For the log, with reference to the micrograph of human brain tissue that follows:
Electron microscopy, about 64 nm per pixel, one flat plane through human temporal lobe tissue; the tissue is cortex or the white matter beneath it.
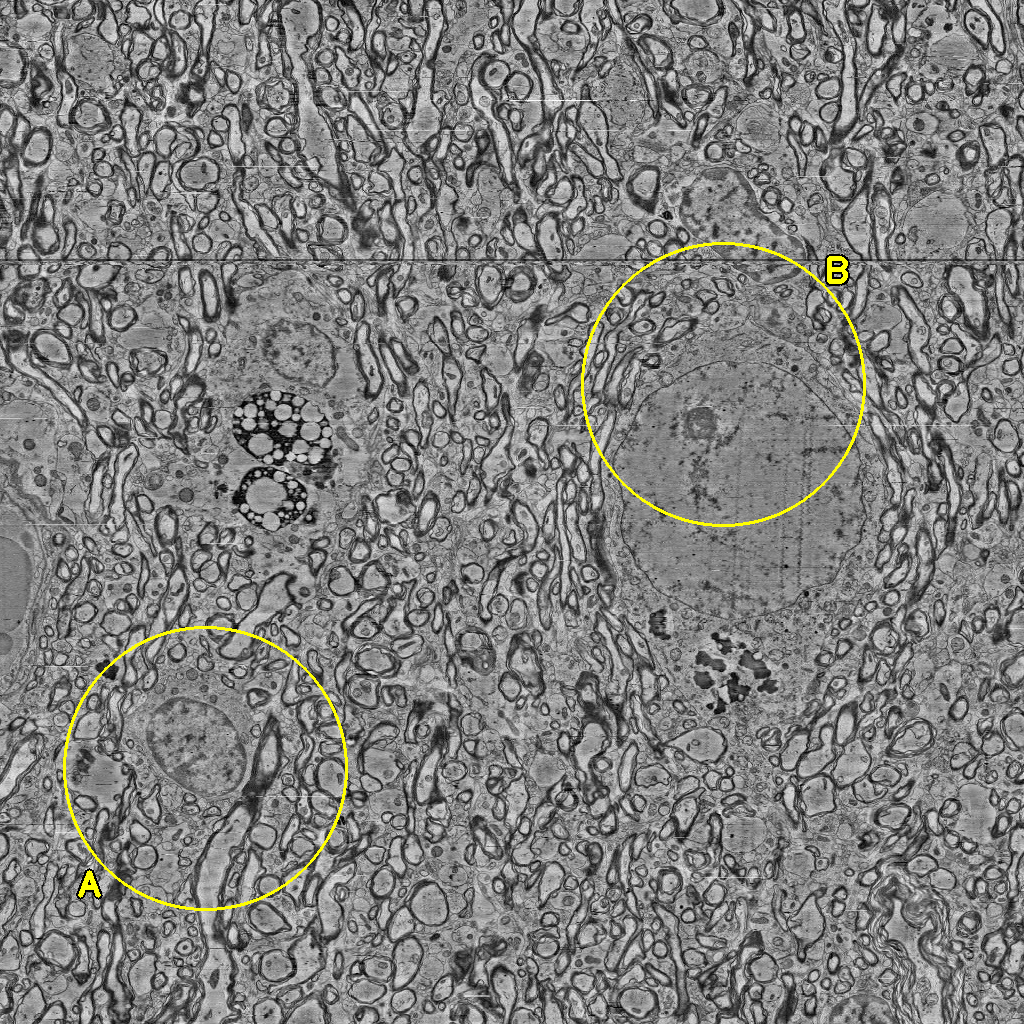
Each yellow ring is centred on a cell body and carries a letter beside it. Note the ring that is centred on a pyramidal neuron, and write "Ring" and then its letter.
Ring B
